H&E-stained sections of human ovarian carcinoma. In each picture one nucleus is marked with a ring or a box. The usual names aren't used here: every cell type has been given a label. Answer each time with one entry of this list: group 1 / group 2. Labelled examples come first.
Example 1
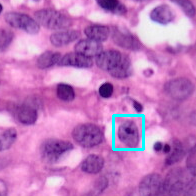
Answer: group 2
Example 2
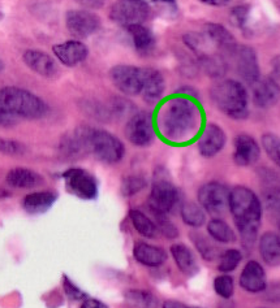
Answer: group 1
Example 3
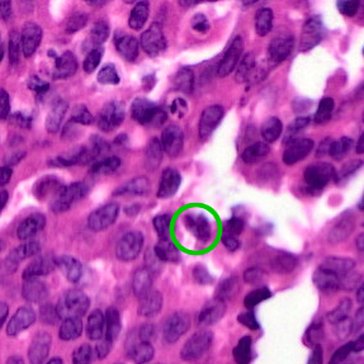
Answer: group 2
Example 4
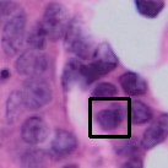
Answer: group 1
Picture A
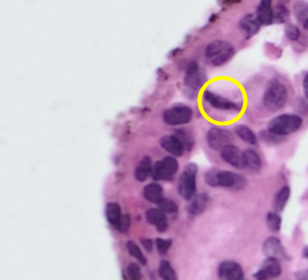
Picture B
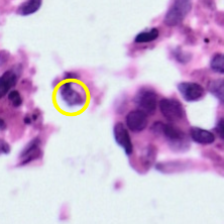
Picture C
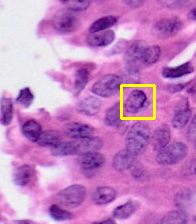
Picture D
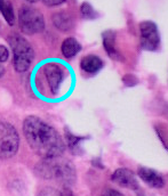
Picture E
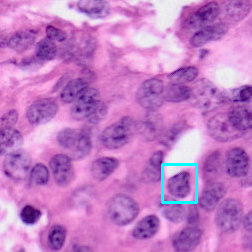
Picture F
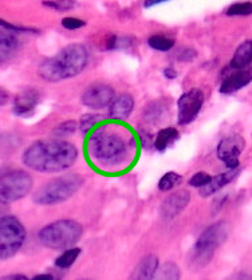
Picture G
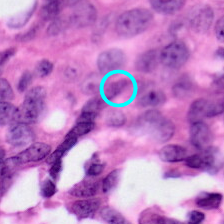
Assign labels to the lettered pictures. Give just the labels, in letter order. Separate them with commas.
group 2, group 2, group 2, group 1, group 2, group 1, group 1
